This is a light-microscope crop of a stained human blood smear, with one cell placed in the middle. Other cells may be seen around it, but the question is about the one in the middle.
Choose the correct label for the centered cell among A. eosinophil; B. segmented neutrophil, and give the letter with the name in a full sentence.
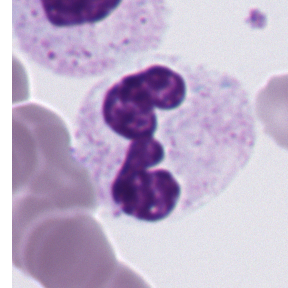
Option B is the correct option, with the middle cell being a segmented neutrophil.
